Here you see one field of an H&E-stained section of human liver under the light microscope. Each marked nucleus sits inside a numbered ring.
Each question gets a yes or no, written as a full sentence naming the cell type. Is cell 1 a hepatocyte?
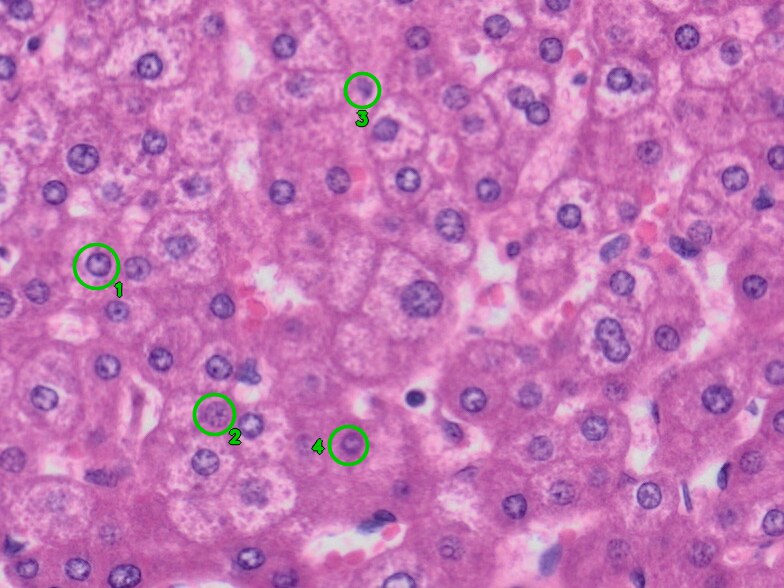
Yes, the cell with number 1 is a hepatocyte.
